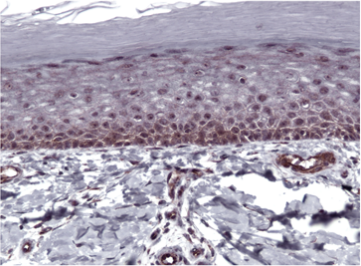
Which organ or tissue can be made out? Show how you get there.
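A multilayered epithelium with a compact cornified layer on top. Loose connective tissue with small vessels lies beneath the epithelium. On this evidence: epidermis.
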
